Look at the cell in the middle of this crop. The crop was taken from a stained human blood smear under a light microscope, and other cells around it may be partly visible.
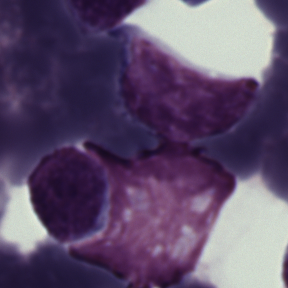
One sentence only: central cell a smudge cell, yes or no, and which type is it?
No, the cell placed in the centre is a myeloblast and is not a smudge cell.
